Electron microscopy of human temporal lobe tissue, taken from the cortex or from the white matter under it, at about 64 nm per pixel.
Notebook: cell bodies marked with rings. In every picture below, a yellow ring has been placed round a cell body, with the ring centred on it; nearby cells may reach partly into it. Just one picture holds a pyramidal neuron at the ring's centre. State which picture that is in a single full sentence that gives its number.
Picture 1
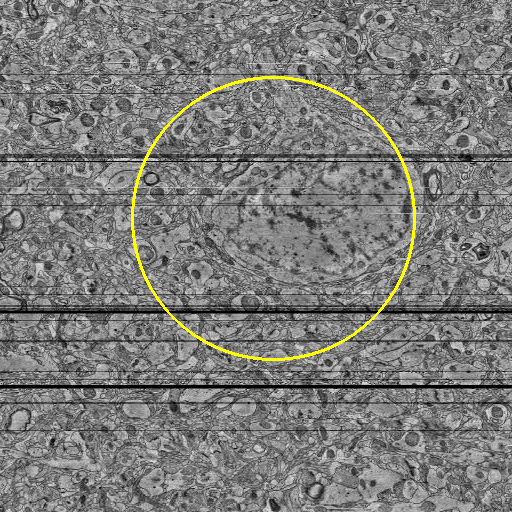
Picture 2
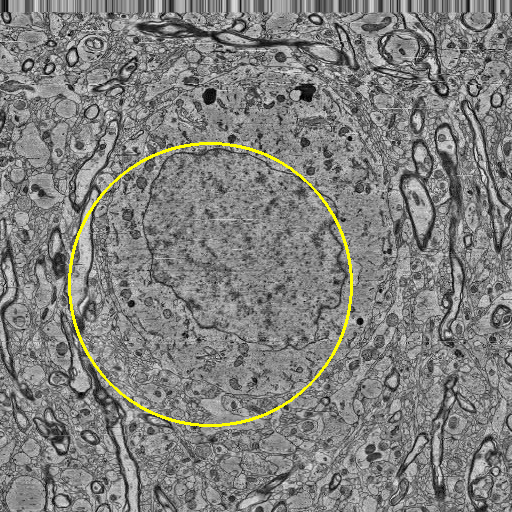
It is picture 2 whose ring has the wanted cell right at its centre.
